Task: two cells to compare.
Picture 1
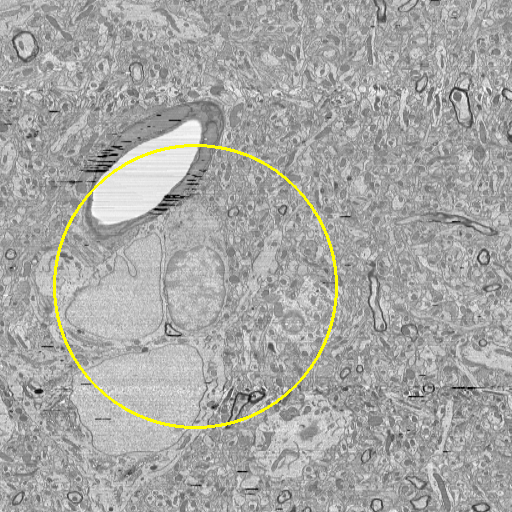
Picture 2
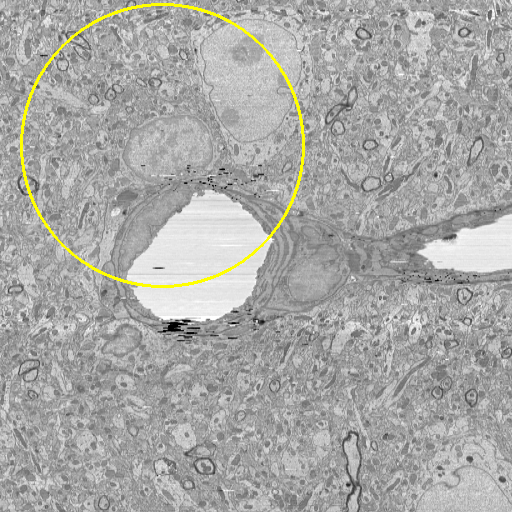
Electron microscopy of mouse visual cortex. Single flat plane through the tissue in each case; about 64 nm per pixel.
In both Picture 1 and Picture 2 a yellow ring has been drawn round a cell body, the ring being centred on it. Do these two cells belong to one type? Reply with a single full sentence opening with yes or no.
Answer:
Yes, the two cells at the ring centres in Picture 1 and Picture 2 share one type.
